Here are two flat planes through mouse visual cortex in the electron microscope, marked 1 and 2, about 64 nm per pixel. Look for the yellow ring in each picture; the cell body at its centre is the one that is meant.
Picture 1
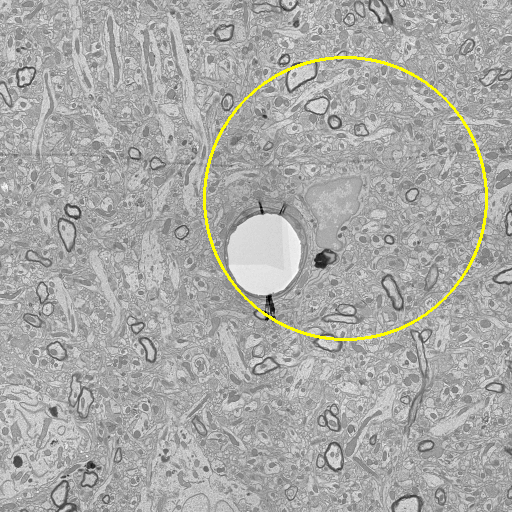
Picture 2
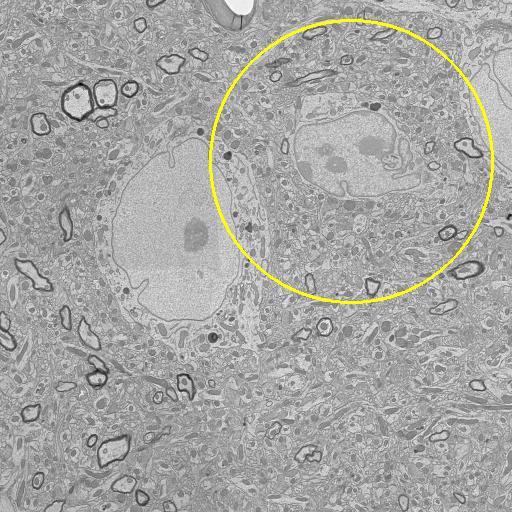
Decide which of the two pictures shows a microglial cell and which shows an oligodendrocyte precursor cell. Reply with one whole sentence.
It is picture 1 that shows a microglial cell, and picture 2 that shows an oligodendrocyte precursor cell.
